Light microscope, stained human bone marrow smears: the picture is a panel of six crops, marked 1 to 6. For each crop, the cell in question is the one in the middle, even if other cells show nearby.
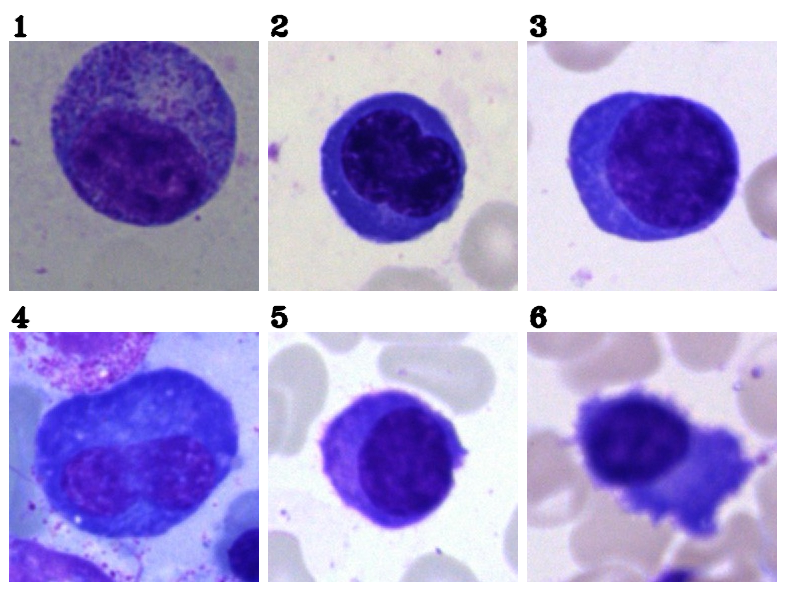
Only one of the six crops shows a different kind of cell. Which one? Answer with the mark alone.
1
